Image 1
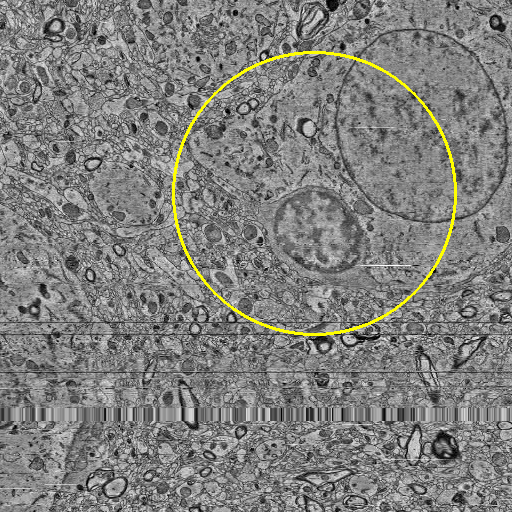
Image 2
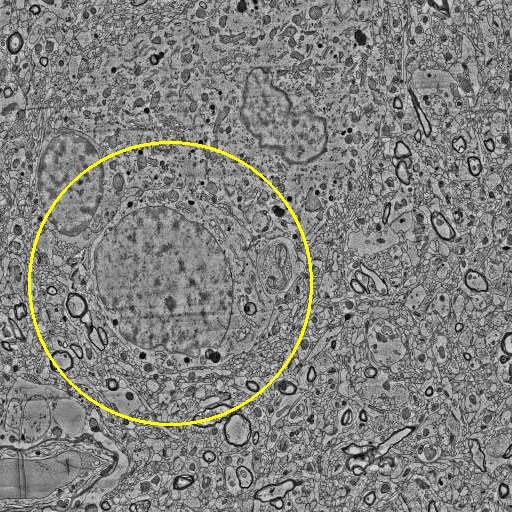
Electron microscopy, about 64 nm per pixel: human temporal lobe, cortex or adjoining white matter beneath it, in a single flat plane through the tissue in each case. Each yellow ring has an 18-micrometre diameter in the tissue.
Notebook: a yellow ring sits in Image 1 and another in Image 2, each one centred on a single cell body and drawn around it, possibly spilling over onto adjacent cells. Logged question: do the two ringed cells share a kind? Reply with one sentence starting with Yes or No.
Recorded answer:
No, the centre cells inside the rings of Image 1 and Image 2 are of two kinds.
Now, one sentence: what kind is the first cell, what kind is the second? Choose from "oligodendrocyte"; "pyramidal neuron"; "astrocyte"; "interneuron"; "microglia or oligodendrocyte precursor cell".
The first picture has an oligodendrocyte at its ring centre, and the second has an interneuron.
